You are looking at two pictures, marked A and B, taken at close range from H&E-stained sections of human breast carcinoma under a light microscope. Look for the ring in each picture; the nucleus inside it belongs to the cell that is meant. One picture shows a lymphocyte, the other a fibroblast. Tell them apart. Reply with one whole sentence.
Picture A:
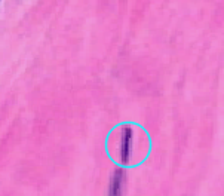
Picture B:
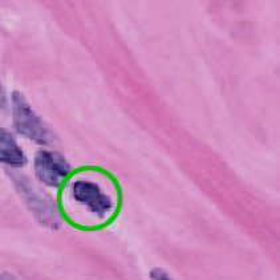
In picture A the cell is a fibroblast; in picture B, a lymphocyte.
